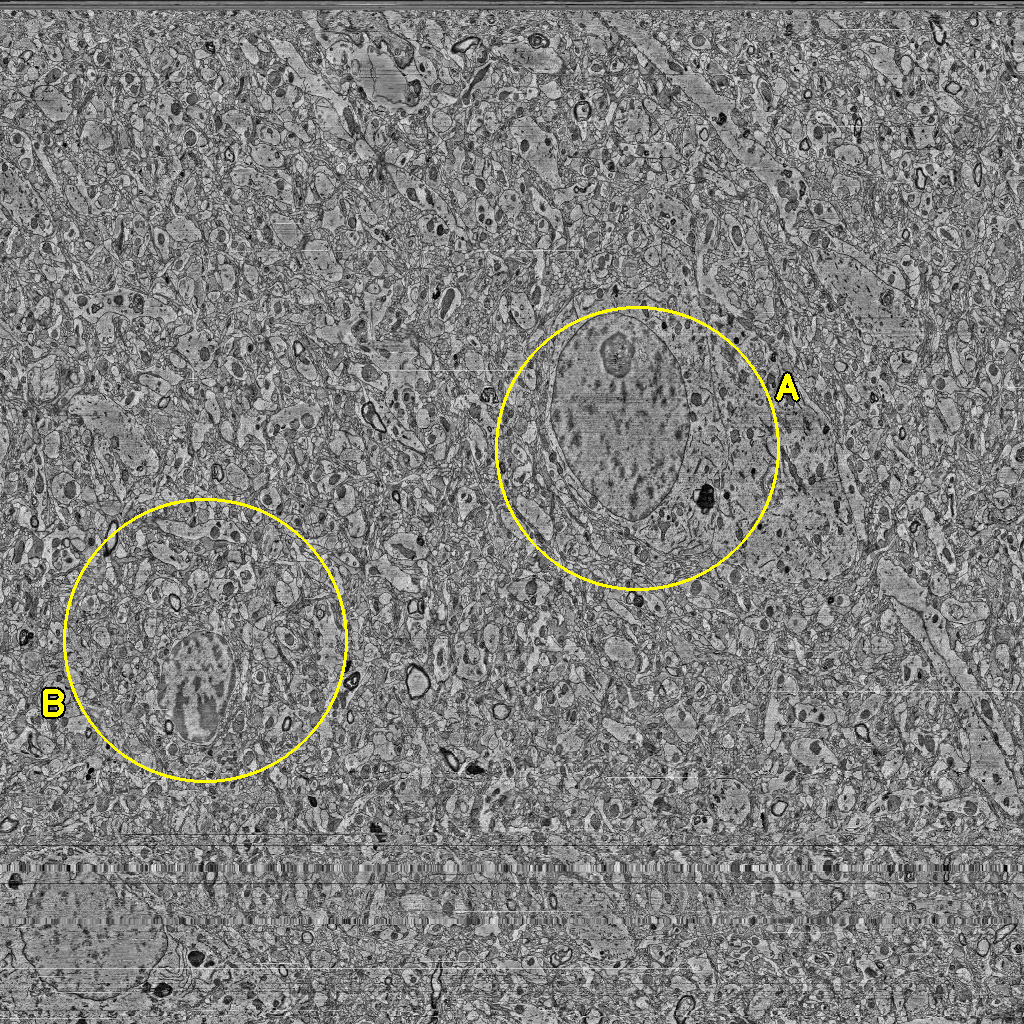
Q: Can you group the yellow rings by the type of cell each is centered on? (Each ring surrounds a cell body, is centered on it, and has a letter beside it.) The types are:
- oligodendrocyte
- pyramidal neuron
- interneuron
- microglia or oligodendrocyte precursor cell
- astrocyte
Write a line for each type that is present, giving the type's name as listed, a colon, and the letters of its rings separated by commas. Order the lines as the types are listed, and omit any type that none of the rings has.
pyramidal neuron: A
microglia or oligodendrocyte precursor cell: B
